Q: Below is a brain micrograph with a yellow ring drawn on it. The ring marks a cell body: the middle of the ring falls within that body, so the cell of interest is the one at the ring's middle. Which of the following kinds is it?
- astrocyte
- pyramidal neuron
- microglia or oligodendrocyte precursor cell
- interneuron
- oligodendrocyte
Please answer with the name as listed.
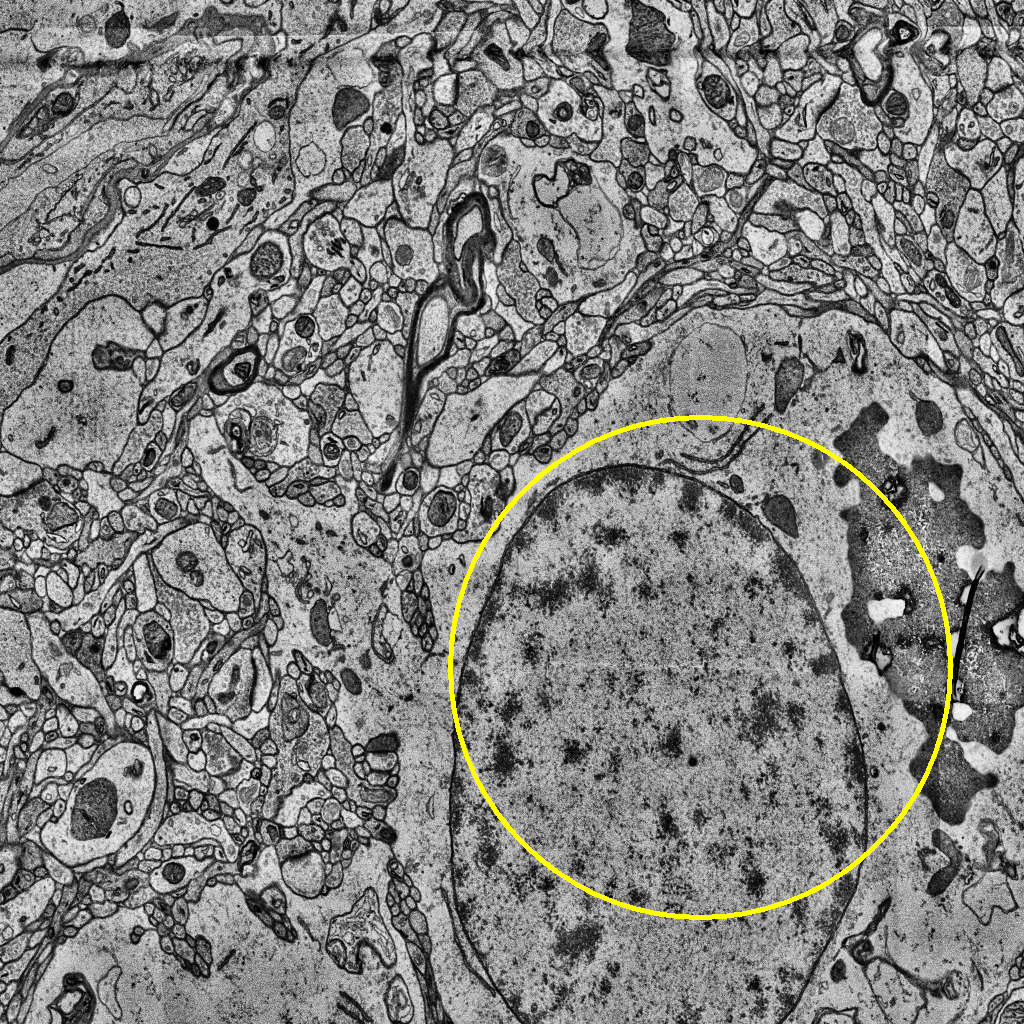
astrocyte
